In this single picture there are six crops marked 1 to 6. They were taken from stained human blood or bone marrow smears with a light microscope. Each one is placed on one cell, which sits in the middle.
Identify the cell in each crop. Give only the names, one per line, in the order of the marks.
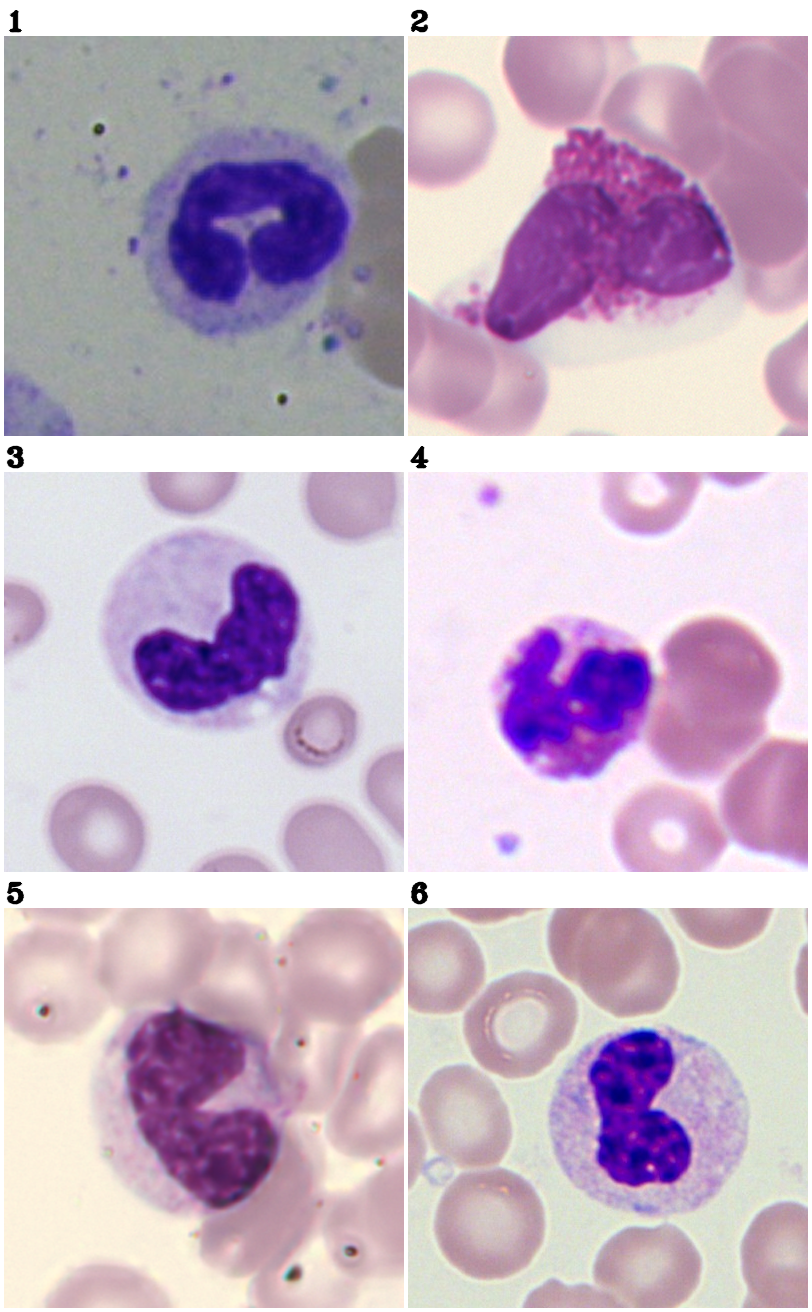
band neutrophil
eosinophil
band neutrophil
eosinophil
band neutrophil
band neutrophil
